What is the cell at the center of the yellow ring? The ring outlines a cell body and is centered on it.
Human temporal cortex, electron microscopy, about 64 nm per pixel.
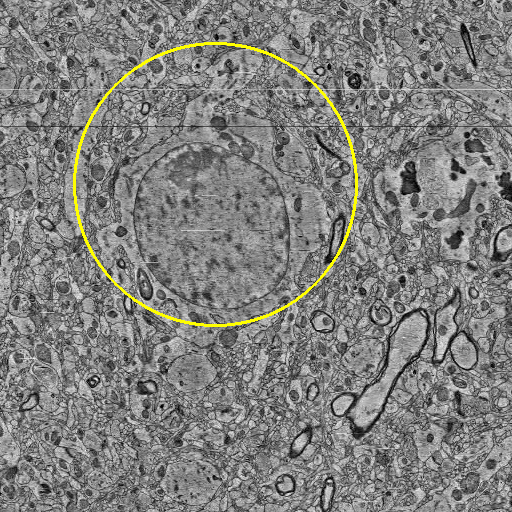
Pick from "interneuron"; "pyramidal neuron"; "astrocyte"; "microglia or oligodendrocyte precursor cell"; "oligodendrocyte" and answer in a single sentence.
The yellow ring is centered on an astrocyte.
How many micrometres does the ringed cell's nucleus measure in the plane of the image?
The nucleus works out at approximately 11 by 10 micrometres in this plane.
